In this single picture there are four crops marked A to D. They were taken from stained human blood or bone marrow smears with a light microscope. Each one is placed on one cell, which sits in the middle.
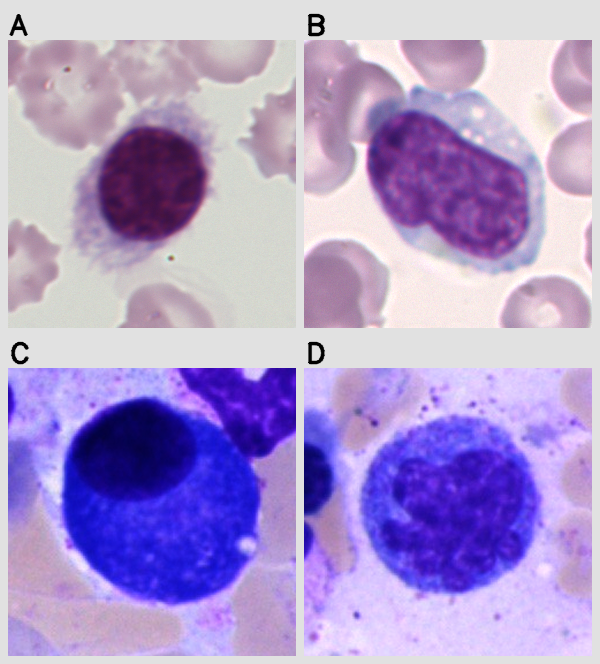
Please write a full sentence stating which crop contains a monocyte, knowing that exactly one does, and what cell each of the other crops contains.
Shown in crop D is a monocyte, whereas crop A is a hairy cell, crop B is a blast and crop C is a plasma cell.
